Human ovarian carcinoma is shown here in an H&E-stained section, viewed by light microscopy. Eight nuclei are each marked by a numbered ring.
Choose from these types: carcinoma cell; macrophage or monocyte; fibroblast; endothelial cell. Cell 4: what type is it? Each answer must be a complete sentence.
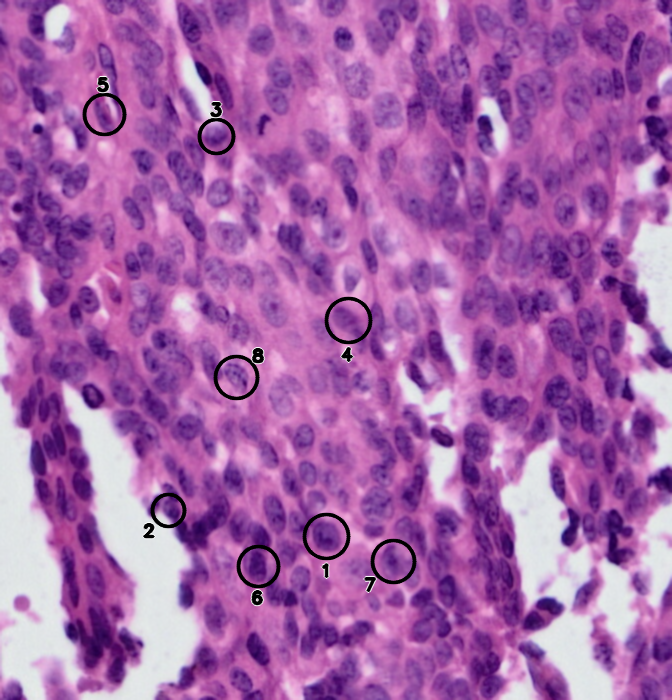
The correct label for cell 4 is a carcinoma cell.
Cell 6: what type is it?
The cell marked with number 6 is a carcinoma cell.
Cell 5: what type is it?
In this section, the cell tagged 5 is an endothelial cell.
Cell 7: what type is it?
The one numbered 7 among the marked cells is a carcinoma cell.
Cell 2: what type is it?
The cell to which the number 2 is assigned is a macrophage or monocyte.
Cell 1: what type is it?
That cell with number 1 is a carcinoma cell.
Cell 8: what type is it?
The nucleus labelled 8 belongs to a macrophage or monocyte.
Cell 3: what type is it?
The correct label for cell 3 is a carcinoma cell.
